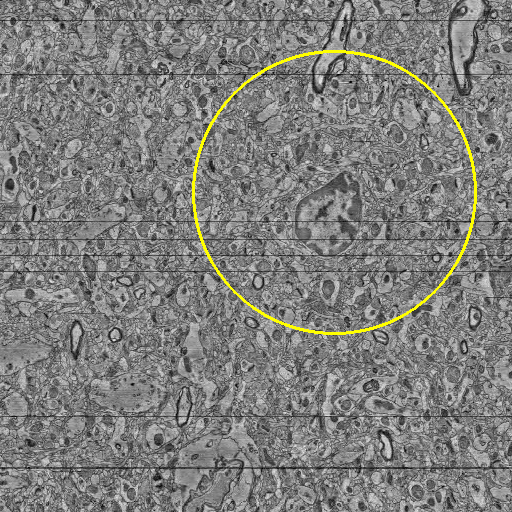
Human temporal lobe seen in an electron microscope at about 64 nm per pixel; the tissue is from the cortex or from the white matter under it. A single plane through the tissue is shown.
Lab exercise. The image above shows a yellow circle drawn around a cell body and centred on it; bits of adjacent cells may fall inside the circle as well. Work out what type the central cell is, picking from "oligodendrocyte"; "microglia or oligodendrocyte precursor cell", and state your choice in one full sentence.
In the image above, the cell at the centre of the yellow circle is a microglial cell or oligodendrocyte precursor cell.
